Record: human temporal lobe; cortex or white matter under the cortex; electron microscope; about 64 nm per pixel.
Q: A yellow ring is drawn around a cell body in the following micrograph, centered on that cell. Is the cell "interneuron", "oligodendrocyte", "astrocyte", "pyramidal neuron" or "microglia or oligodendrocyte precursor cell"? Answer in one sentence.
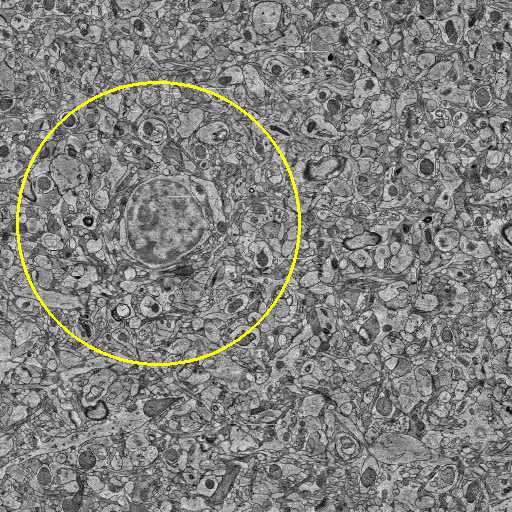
The cell in the center of the ring is a microglial cell or oligodendrocyte precursor cell.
